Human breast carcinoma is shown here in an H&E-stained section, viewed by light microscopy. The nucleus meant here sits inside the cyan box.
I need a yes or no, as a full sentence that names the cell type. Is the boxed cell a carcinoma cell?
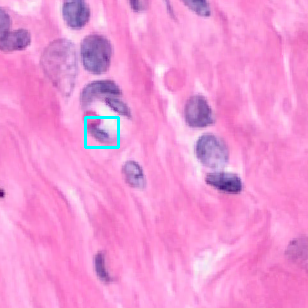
No, the boxed cell represents an endothelial cell and does not represent a carcinoma cell.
